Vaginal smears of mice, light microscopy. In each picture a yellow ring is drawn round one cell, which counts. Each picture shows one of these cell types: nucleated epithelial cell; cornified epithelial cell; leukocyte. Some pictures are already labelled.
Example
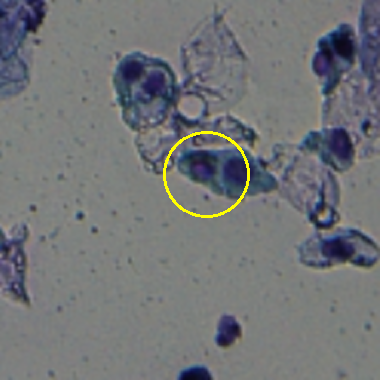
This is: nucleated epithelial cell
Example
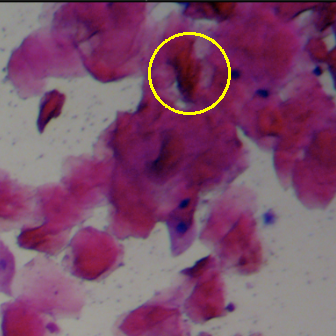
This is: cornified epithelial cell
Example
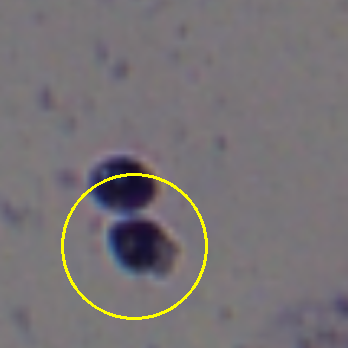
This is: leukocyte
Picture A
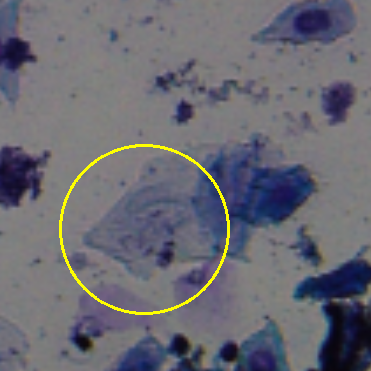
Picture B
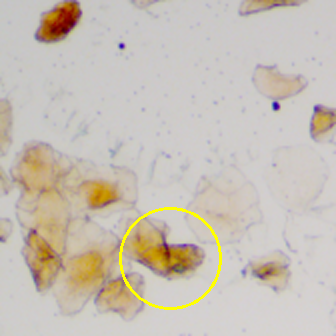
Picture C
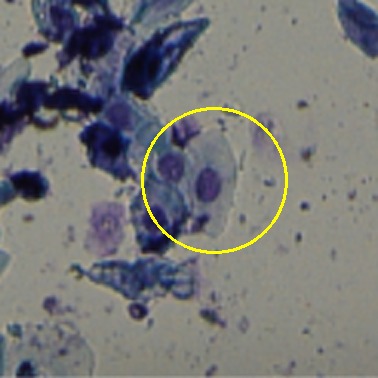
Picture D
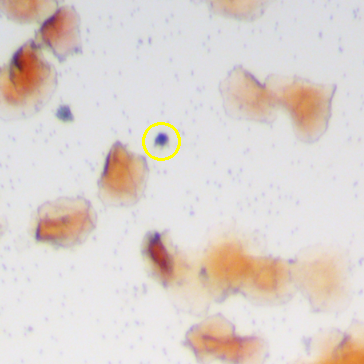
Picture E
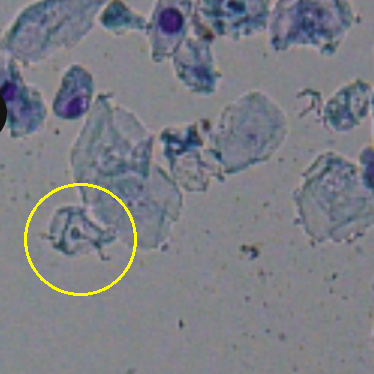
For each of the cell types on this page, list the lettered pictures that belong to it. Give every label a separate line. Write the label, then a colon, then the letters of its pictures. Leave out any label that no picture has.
nucleated epithelial cell: C
cornified epithelial cell: A, B, E
leukocyte: D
